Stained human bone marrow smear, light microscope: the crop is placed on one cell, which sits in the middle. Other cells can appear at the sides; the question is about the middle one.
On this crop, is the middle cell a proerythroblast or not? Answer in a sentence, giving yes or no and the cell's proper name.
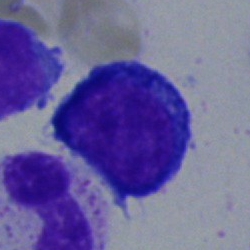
Yes, the cell found in the middle is a proerythroblast.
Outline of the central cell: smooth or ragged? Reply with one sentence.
A smooth outline is absent here, replaced by ragged stretches or projections.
